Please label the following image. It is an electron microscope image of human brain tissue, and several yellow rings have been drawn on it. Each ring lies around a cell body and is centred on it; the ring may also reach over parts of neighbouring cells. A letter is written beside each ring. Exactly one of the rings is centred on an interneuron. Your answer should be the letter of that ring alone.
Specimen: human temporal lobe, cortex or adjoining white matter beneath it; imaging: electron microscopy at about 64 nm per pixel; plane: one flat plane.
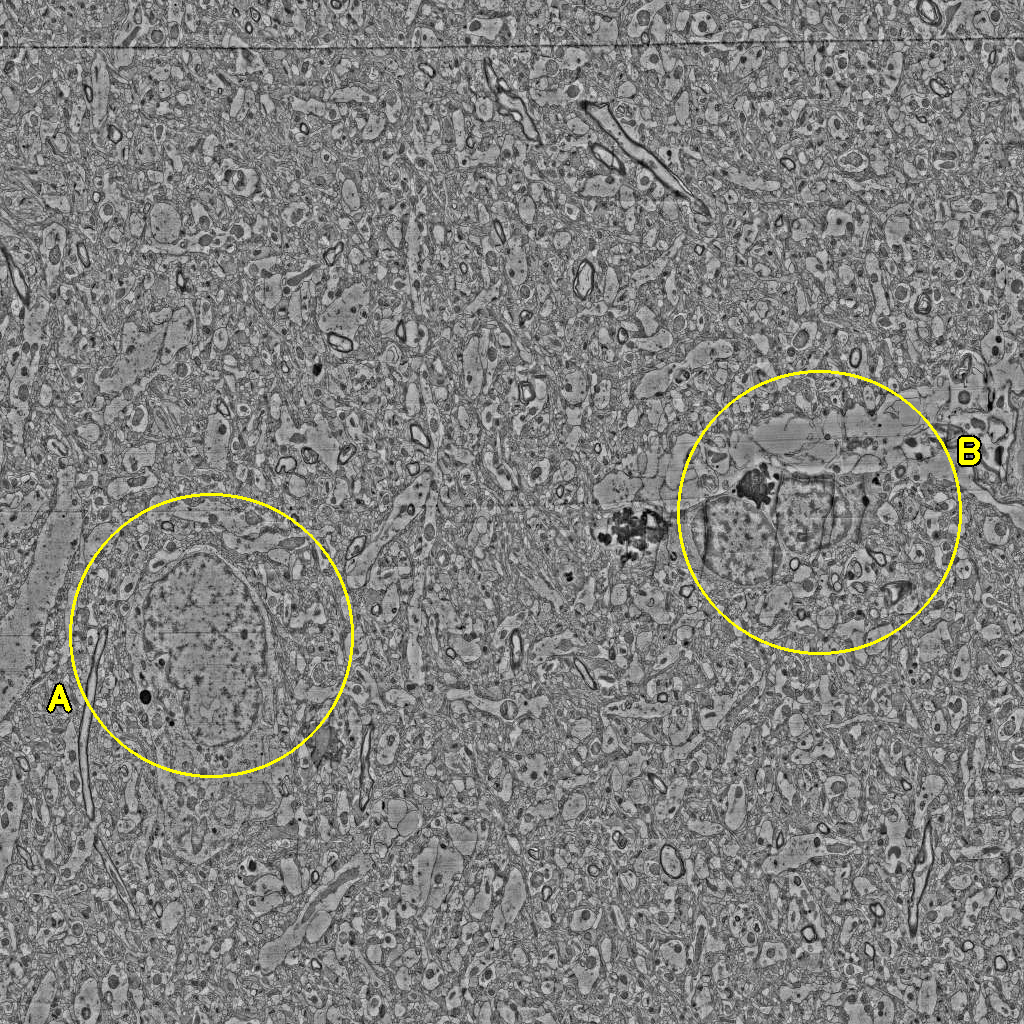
A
